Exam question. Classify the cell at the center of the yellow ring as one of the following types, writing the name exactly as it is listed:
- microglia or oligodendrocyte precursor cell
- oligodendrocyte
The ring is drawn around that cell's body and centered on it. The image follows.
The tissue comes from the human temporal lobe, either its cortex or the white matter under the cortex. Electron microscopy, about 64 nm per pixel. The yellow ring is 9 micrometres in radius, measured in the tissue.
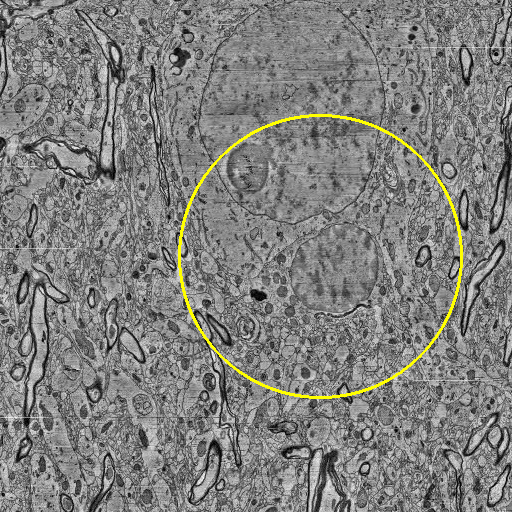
oligodendrocyte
